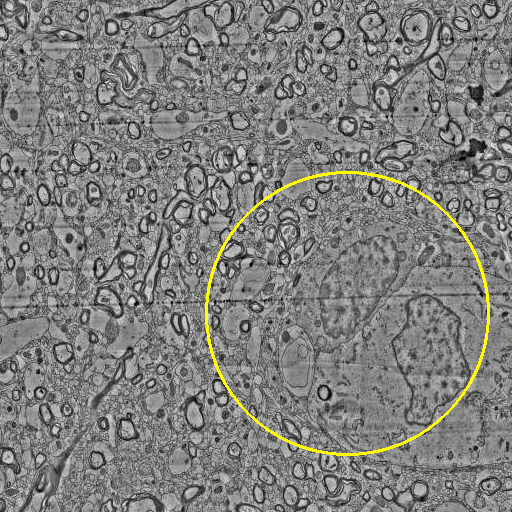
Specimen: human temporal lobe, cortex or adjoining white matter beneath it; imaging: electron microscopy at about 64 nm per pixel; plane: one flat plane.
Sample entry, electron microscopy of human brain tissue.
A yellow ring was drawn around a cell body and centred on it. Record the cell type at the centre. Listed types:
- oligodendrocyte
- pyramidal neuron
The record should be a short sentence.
The cell at the ring's centre is an oligodendrocyte.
